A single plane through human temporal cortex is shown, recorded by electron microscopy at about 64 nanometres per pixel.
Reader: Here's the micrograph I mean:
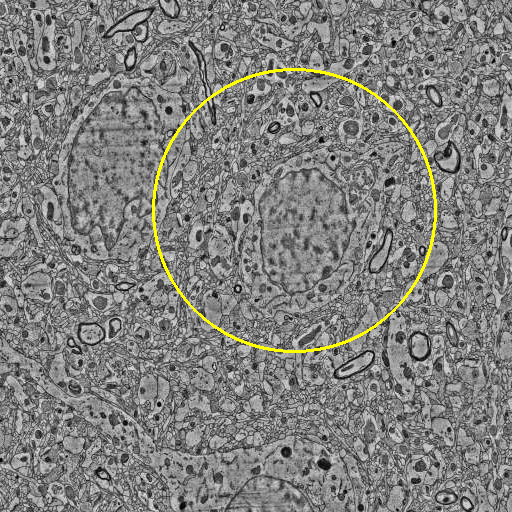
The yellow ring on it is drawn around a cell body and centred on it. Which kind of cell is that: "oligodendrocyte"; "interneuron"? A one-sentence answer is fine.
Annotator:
The ring is centred on an interneuron.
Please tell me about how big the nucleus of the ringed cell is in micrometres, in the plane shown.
About 8 by 6 micrometres in this plane.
